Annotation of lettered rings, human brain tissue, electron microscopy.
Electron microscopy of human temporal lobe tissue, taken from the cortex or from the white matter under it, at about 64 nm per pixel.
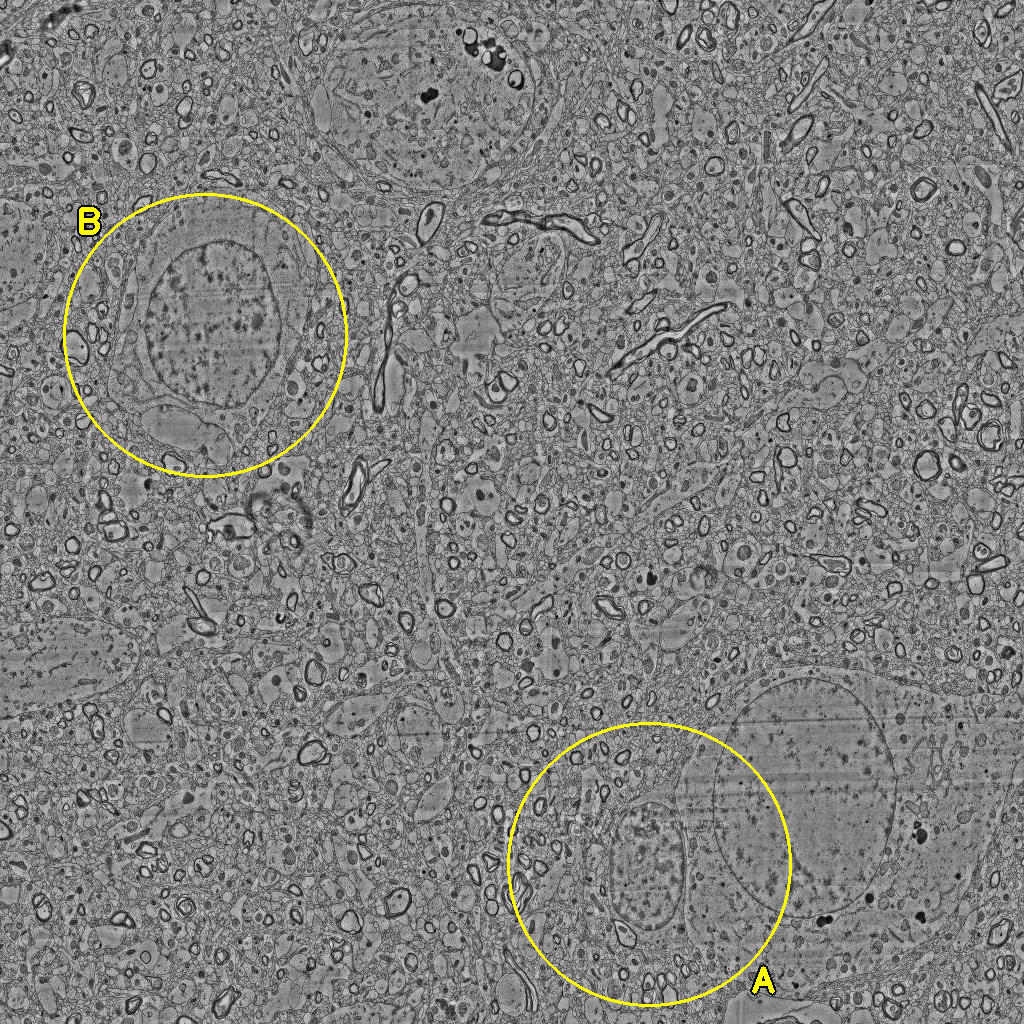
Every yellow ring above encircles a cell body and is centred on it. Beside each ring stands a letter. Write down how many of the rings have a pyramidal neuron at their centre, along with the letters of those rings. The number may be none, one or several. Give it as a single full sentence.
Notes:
Zero rings, of all those lettered in the micrograph, are centred on a pyramidal neuron.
